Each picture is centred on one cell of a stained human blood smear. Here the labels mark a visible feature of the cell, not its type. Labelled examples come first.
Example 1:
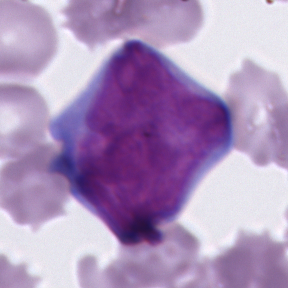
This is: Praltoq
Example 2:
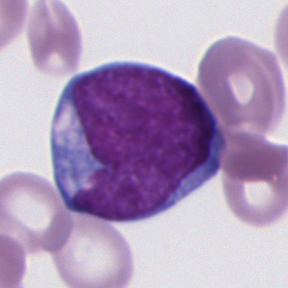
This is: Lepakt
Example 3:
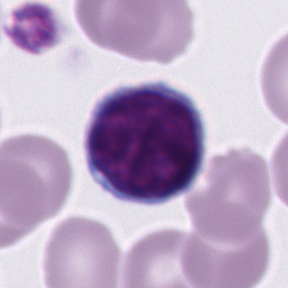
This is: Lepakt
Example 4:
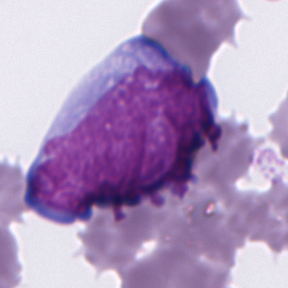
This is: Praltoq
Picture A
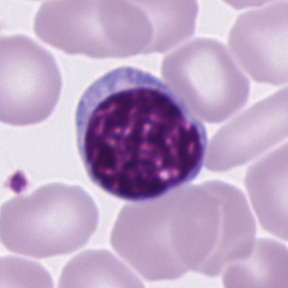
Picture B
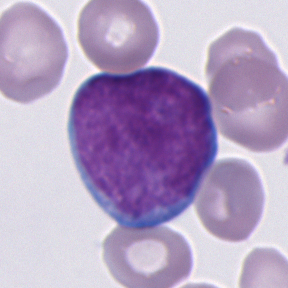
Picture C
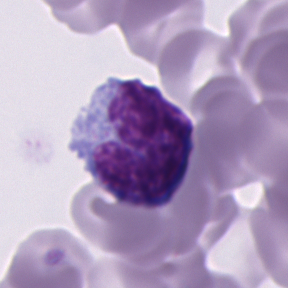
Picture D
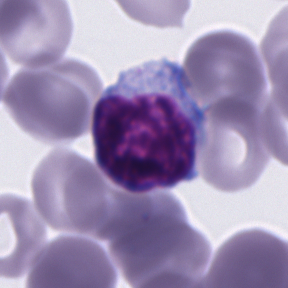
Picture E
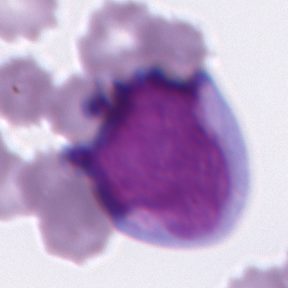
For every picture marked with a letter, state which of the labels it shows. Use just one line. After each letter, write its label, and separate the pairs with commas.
A Lepakt, B Lepakt, C Praltoq, D Praltoq, E Praltoq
